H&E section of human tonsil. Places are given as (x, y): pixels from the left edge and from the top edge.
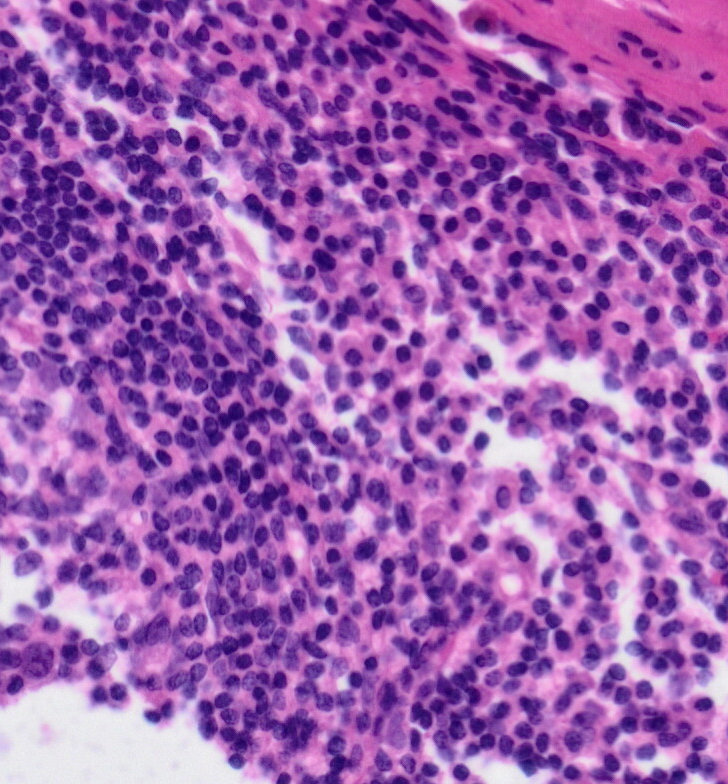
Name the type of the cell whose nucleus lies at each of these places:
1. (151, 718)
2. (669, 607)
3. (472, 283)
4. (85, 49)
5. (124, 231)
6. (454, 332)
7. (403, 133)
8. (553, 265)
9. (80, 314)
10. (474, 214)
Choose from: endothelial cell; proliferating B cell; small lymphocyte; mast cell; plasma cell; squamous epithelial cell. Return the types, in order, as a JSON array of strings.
["small lymphocyte", "small lymphocyte", "plasma cell", "small lymphocyte", "small lymphocyte", "plasma cell", "plasma cell", "plasma cell", "small lymphocyte", "plasma cell"]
